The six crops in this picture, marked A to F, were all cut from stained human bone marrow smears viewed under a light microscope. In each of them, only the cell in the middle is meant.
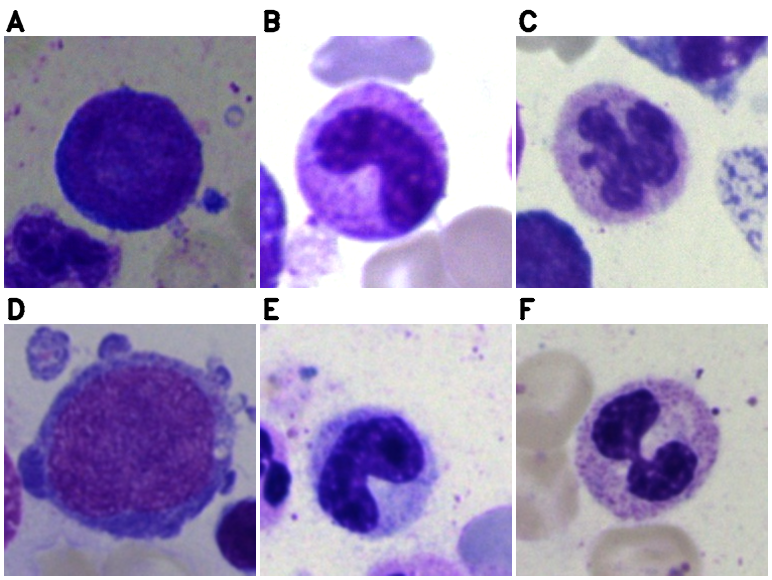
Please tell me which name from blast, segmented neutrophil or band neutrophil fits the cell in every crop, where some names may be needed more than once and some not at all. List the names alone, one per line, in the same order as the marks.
blast
band neutrophil
segmented neutrophil
blast
band neutrophil
segmented neutrophil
